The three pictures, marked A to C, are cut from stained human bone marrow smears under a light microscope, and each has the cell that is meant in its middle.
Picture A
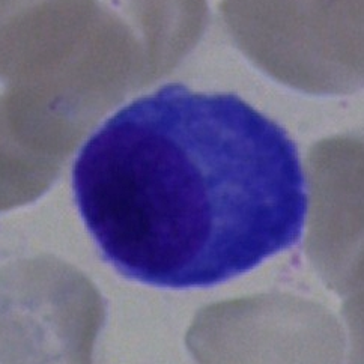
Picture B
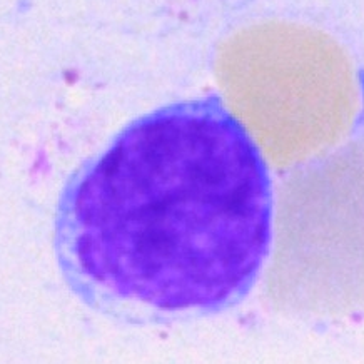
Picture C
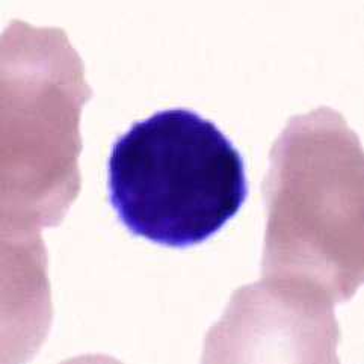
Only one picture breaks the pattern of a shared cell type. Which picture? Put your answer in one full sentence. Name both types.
Picture A differs, because its cell is a plasma cell and the rest are lymphocytes.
